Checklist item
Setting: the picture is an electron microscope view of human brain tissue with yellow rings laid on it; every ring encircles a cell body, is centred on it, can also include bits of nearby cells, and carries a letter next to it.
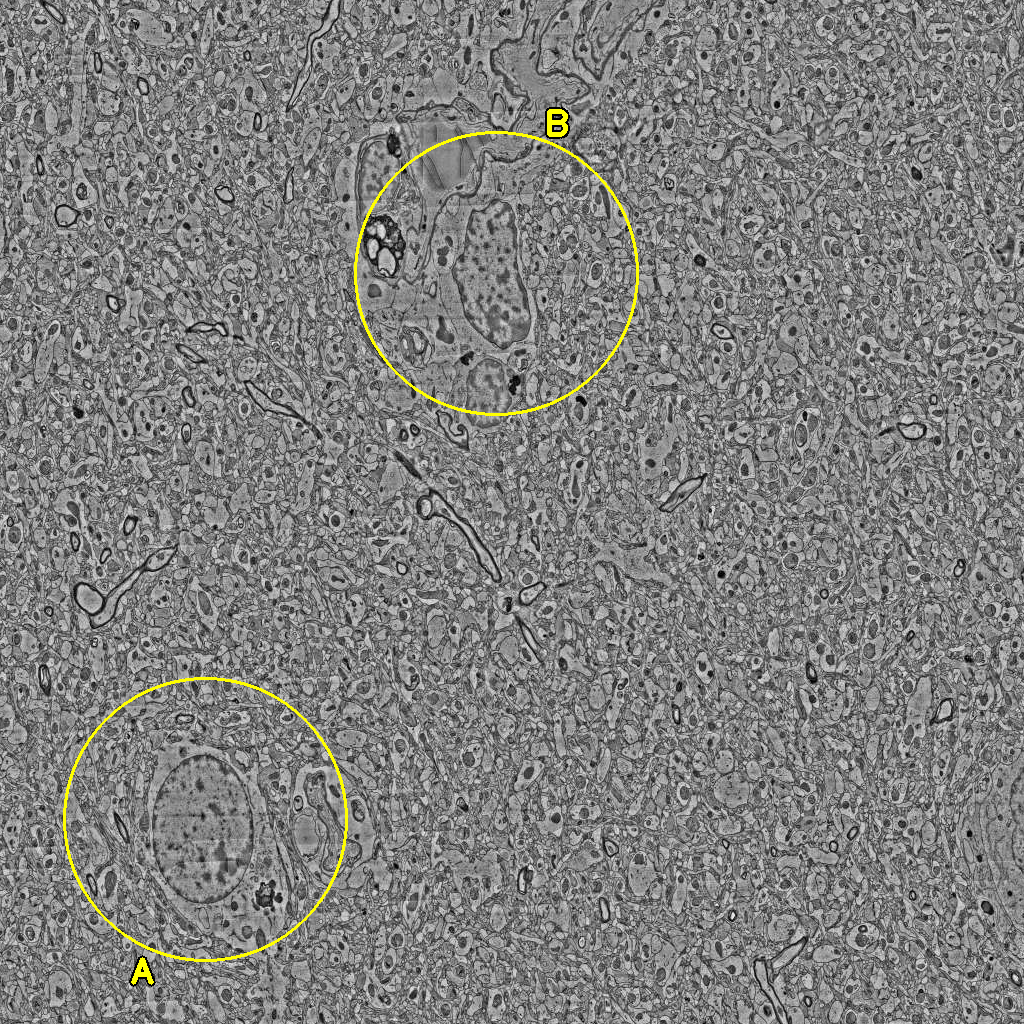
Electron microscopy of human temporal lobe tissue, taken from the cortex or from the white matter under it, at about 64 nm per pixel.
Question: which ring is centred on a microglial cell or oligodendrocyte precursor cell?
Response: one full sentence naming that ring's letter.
My response is that ring B has the sought cell at its centre.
